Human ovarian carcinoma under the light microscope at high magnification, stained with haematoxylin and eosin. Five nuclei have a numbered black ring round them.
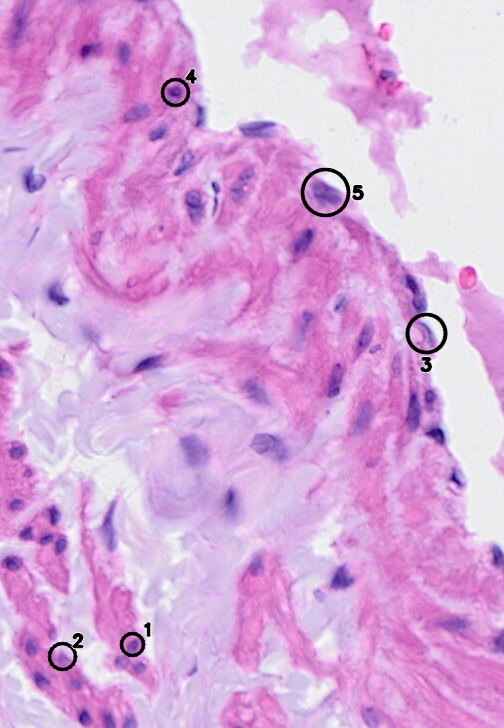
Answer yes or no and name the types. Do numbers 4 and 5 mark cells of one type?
No, cell 4 is a smooth muscle cell and cell 5 is an endothelial cell.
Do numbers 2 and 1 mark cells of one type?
Yes, both are smooth muscle cells.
